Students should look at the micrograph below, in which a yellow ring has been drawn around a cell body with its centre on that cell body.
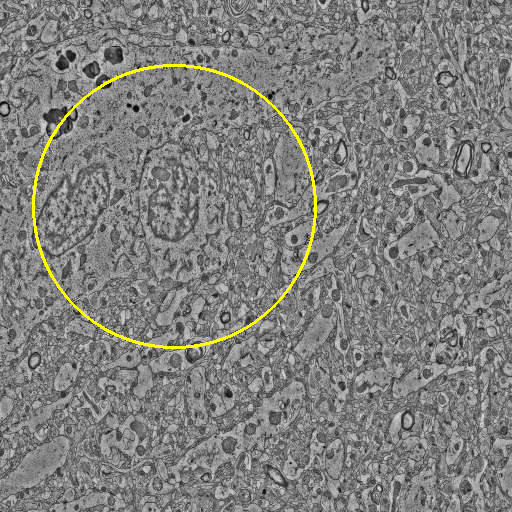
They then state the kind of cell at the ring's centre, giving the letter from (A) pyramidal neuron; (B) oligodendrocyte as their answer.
A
